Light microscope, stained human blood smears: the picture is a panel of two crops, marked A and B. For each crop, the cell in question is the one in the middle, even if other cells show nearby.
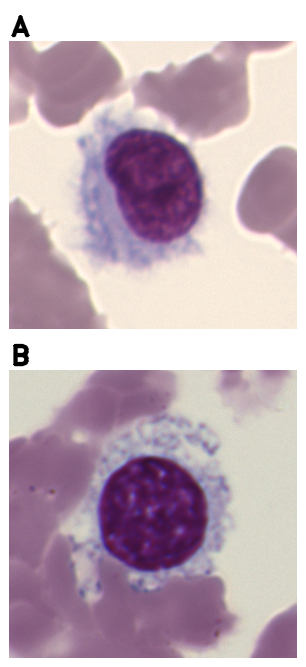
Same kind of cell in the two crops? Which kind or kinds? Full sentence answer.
Yes, the two crops are alike in showing hairy cells.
